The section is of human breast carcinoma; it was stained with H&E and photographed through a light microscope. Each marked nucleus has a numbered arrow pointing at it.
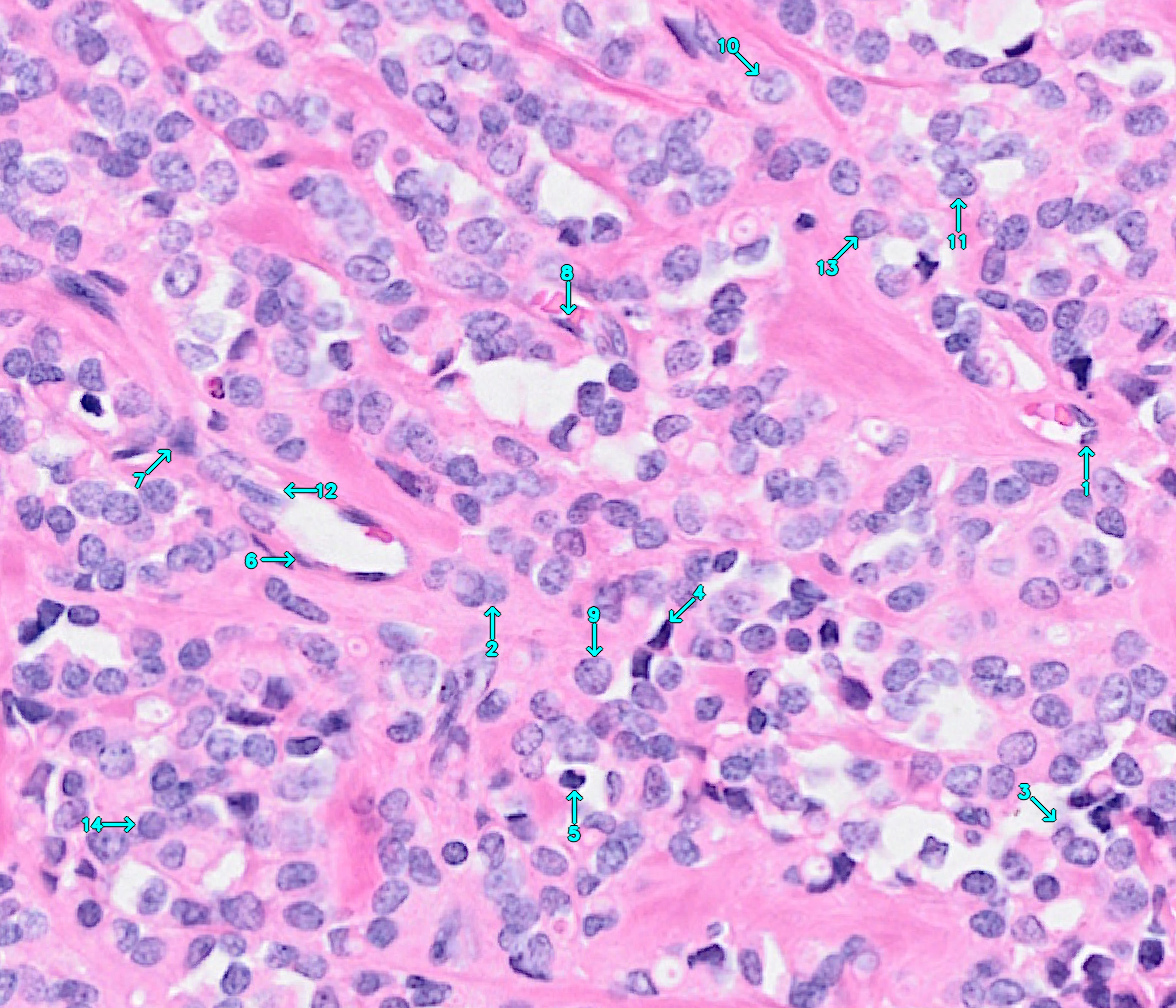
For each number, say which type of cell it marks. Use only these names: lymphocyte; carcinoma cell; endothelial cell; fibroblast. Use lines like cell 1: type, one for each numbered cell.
cell 1: endothelial cell
cell 2: carcinoma cell
cell 3: carcinoma cell
cell 4: carcinoma cell
cell 5: lymphocyte
cell 6: endothelial cell
cell 7: endothelial cell
cell 8: endothelial cell
cell 9: carcinoma cell
cell 10: carcinoma cell
cell 11: carcinoma cell
cell 12: endothelial cell
cell 13: carcinoma cell
cell 14: carcinoma cell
